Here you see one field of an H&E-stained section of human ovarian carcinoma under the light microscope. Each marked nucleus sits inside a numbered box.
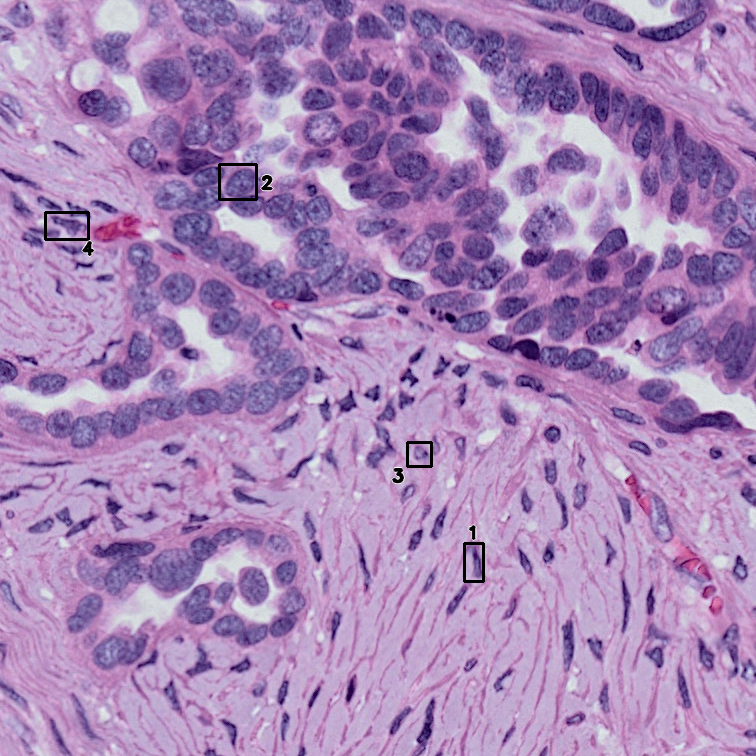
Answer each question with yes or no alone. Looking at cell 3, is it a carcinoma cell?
no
